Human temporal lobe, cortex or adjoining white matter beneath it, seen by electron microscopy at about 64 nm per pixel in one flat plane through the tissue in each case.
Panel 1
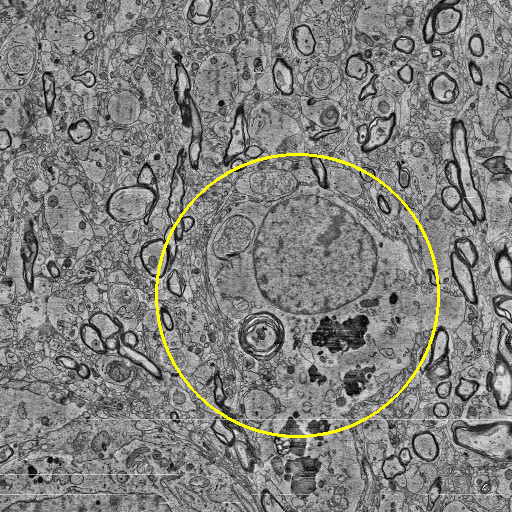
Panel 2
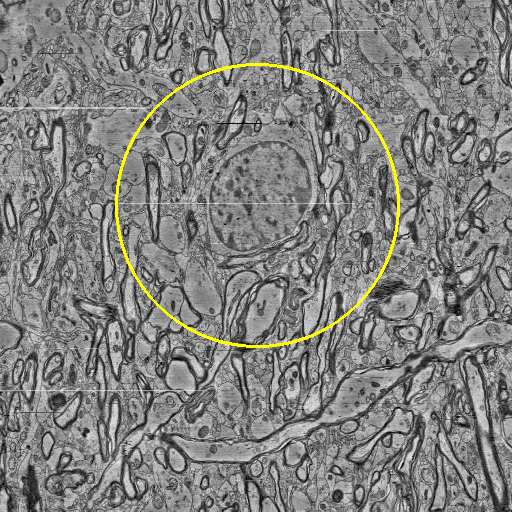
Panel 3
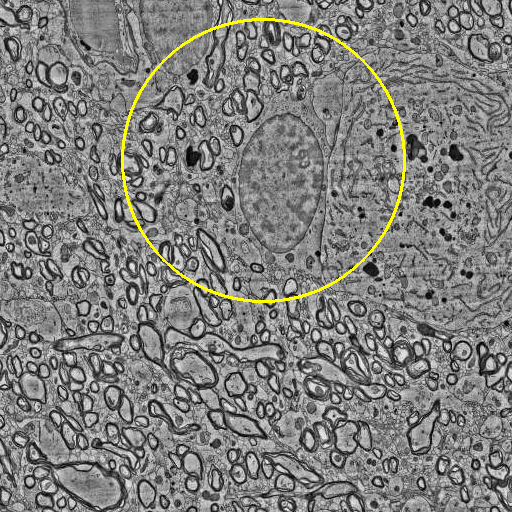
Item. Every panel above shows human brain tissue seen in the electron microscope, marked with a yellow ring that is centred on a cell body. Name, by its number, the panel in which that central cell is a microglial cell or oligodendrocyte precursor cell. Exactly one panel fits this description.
2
